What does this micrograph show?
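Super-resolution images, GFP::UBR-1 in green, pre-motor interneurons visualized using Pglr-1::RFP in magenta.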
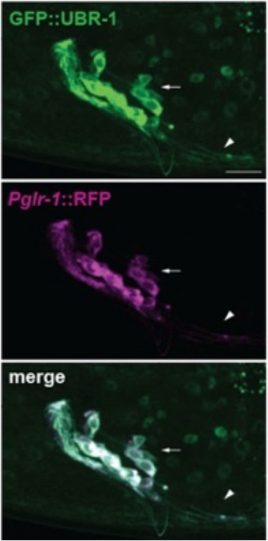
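In the upper image the green fluorescence is brightest in a tight cluster of rounded cell bodies, with many fainter round cell bodies scattered around them. The magenta image shows the same cluster of cell bodies and thin processes that gather into a bundle running away from the cluster. In the merged image the cluster and its fibres appear whitish where green and magenta overlap, while the surrounding fainter round cell bodies remain green only. The thin axon fibres extend from the cluster toward the lower edge of the picture.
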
